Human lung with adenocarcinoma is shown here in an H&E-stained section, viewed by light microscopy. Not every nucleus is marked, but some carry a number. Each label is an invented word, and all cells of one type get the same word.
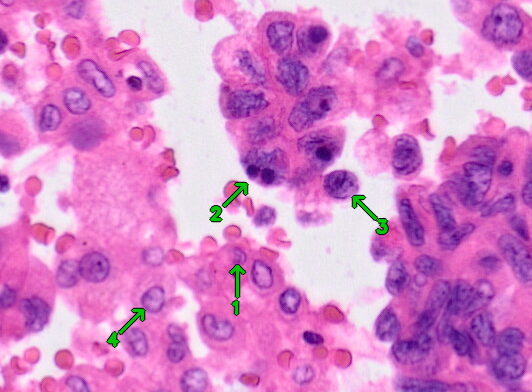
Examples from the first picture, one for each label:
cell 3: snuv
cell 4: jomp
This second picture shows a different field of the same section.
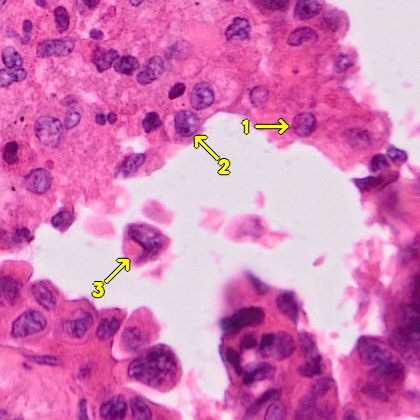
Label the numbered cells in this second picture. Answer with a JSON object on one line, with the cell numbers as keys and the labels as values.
{"1": "jomp", "2": "jomp", "3": "snuv"}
